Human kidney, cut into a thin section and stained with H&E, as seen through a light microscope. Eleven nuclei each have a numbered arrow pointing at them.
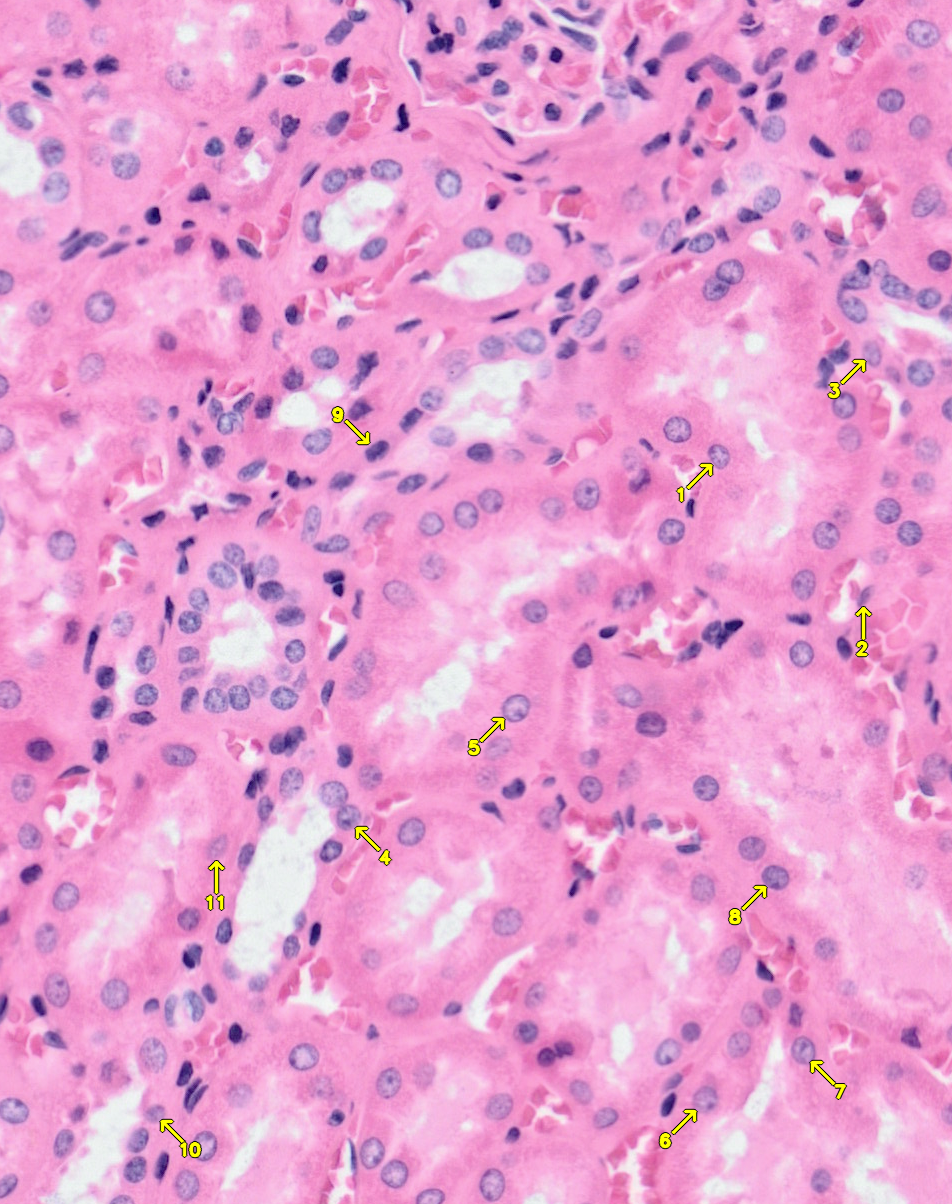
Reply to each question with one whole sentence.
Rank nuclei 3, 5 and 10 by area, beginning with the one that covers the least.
By area, going up from the smallest, they rank 10, 3, 5.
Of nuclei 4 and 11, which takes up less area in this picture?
With nucleus 4 about 1.5 times its size, nucleus 11 is the smaller of the two.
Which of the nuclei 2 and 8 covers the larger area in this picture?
Nucleus 8 is larger, with an area about 2 times that of nucleus 2.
